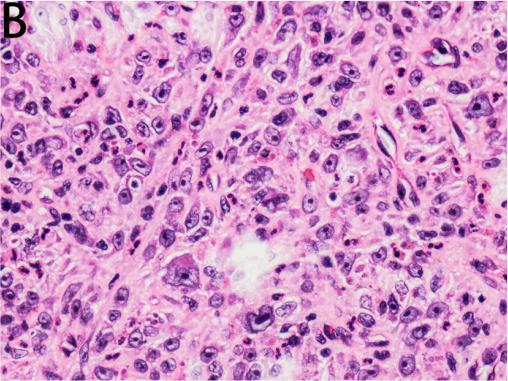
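Tumor tissue made of sheets of epithelioid and spindle-shaped cells in a pink matrix. The nuclei are oval to irregular and vary in size, with fine pale chromatin, sharp nuclear outlines and distinct nucleoli. Some nuclei are folded or indented. Cytoplasm is moderate, pink and poorly bordered. Scattered large cells with enlarged, bizarre dark nuclei lie among the smaller ones, and a small pale loose area sits near the centre.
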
